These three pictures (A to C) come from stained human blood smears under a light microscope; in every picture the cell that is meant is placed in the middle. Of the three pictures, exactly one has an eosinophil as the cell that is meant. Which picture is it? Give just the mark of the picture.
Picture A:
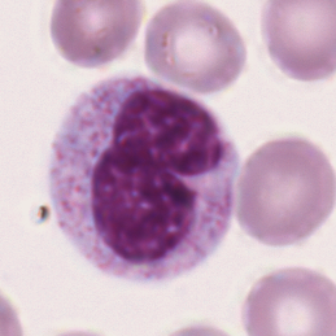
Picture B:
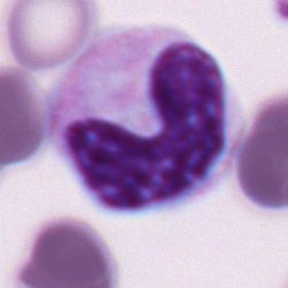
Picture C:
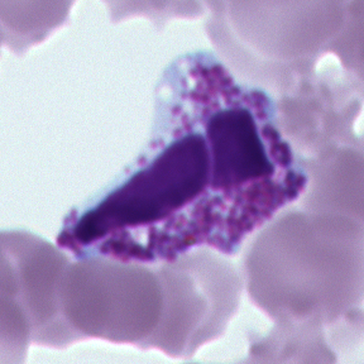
C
